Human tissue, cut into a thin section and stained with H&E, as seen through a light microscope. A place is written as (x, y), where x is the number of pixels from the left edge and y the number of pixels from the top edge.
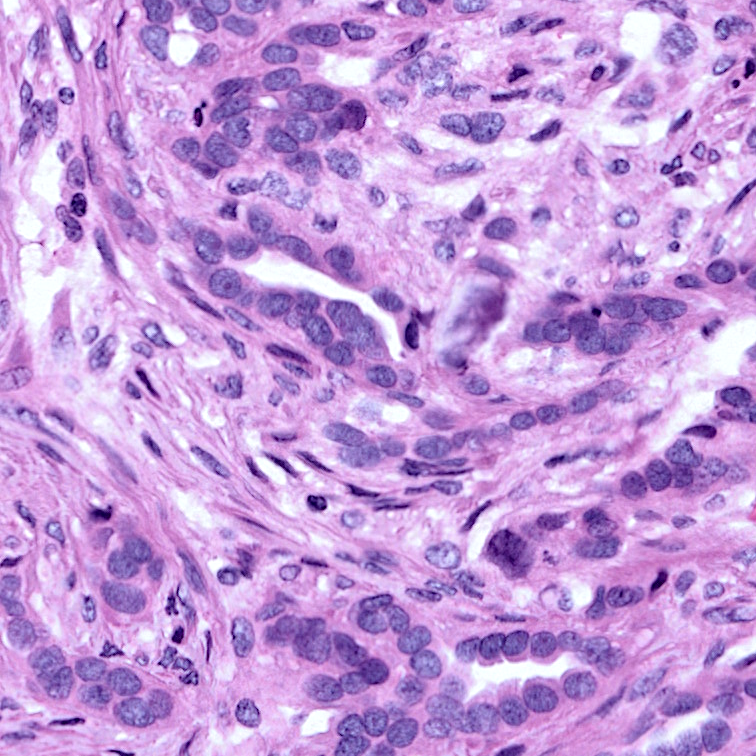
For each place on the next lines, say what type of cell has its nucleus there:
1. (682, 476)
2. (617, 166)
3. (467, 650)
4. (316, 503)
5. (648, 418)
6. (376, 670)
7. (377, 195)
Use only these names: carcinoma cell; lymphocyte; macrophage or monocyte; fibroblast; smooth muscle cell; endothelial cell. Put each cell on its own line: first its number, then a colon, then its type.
1: carcinoma cell
2: macrophage or monocyte
3: carcinoma cell
4: lymphocyte
5: fibroblast
6: carcinoma cell
7: macrophage or monocyte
